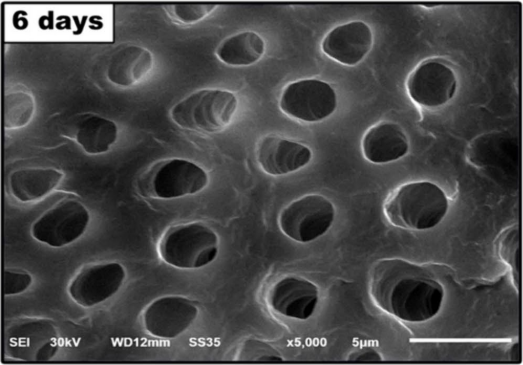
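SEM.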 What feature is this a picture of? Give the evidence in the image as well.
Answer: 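Dentinal tubules. Many closely packed round openings cover the surface. The openings show depth, with walls visible inside.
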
